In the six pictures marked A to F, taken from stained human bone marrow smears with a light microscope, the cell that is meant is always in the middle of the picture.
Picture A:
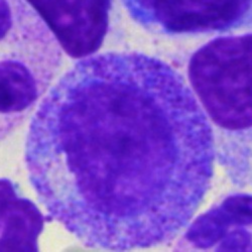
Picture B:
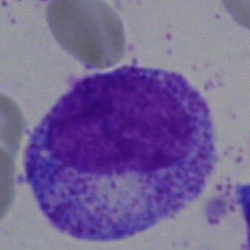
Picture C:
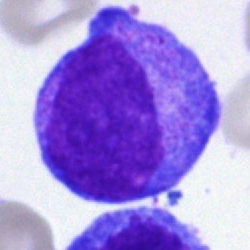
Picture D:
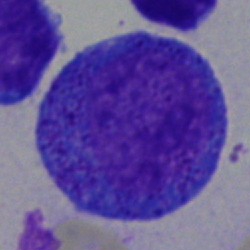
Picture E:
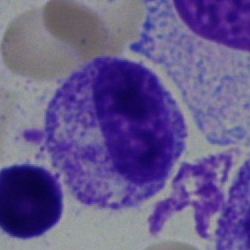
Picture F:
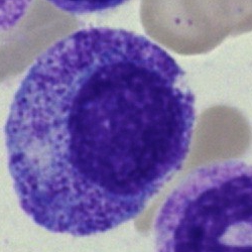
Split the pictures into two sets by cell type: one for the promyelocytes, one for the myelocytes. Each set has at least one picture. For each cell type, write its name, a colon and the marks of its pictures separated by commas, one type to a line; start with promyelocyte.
promyelocyte: A, C, D, F
myelocyte: B, E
